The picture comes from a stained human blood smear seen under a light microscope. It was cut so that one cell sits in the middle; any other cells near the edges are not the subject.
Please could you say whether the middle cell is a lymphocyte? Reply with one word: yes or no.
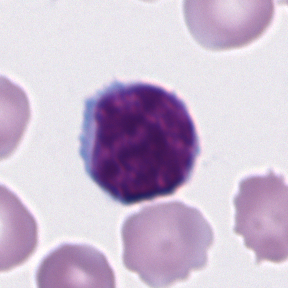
yes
